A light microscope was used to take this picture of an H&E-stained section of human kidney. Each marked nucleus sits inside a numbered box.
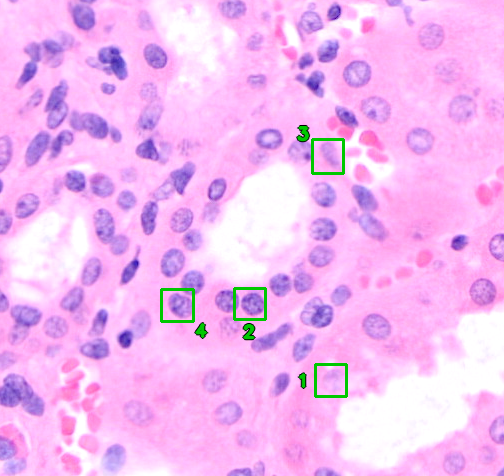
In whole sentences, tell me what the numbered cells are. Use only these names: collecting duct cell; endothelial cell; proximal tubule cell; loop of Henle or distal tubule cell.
Cell 1 is a proximal tubule cell. Cells 2, 3 and 4 are collecting duct cells.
